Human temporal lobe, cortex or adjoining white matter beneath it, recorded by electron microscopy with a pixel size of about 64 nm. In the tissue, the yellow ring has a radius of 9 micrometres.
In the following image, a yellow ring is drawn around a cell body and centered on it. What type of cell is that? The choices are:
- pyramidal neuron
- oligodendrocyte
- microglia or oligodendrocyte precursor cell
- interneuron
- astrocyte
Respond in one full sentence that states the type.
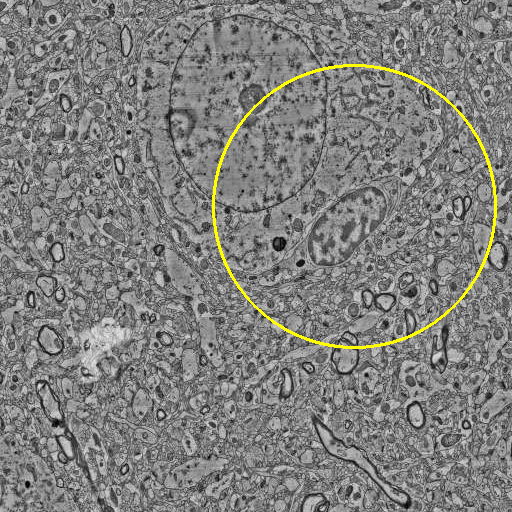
The cell at the center of the yellow ring in the image is a microglial cell or oligodendrocyte precursor cell.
